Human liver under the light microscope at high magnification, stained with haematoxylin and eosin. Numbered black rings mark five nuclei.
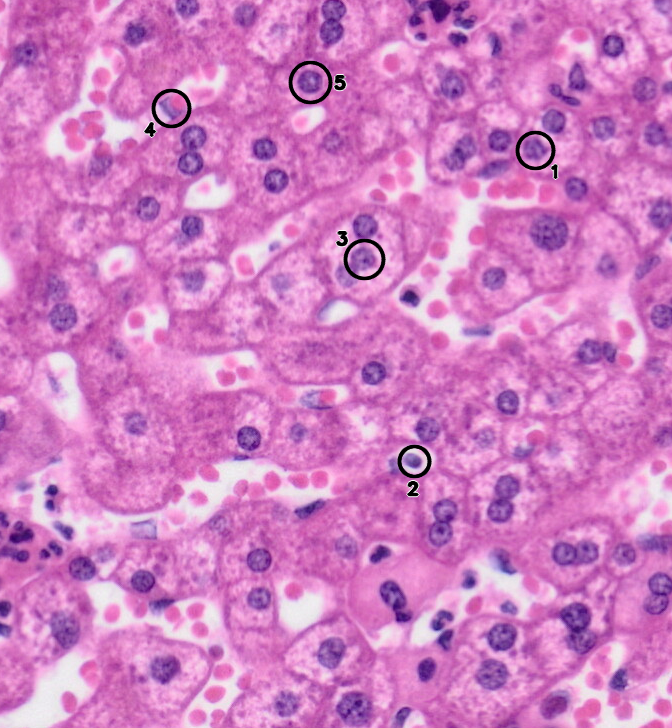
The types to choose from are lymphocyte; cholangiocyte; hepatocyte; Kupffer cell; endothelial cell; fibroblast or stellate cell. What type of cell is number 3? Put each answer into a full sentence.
As for number 3, that cell is a hepatocyte.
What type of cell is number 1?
The cell given label 1 is a hepatocyte.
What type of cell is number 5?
The marked cell with the number 5 is recognised as a hepatocyte.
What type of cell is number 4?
The cell to which the number 4 is assigned is an endothelial cell.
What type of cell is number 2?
Cell 2 should be recorded as a lymphocyte.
